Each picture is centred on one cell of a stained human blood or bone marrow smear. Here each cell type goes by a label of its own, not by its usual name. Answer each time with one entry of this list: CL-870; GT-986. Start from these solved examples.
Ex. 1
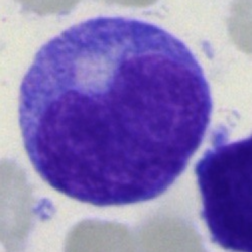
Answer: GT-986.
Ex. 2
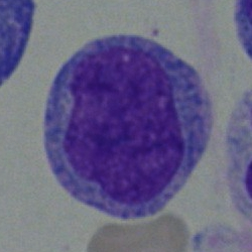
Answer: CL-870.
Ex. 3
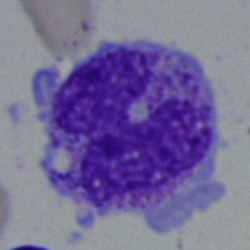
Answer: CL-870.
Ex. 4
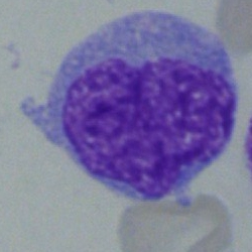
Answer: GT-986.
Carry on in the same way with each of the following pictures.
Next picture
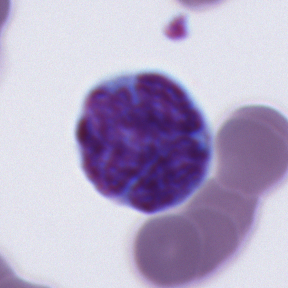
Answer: CL-870.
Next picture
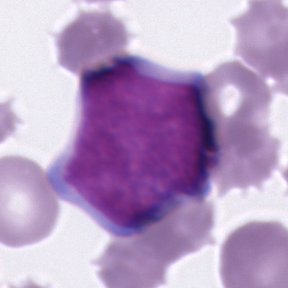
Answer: GT-986.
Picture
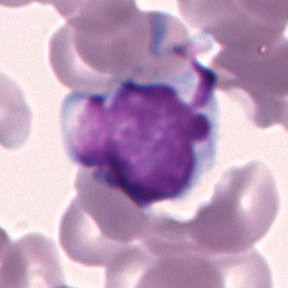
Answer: GT-986.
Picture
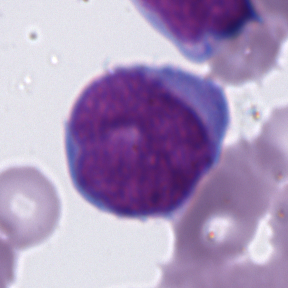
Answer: GT-986.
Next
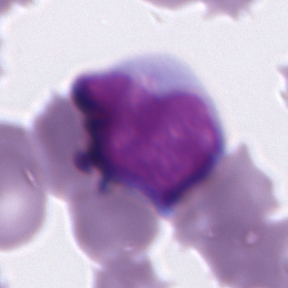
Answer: GT-986.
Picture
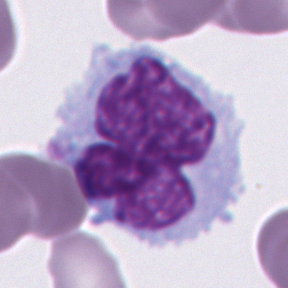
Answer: CL-870.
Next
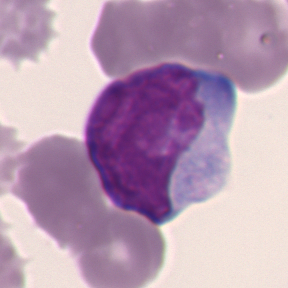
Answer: GT-986.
